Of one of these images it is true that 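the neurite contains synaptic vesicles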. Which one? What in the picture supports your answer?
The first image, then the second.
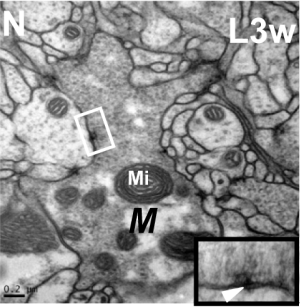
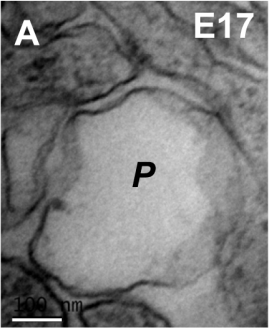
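Second image: the central profile is pale and almost empty, without vesicles. On this evidence: the first image.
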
